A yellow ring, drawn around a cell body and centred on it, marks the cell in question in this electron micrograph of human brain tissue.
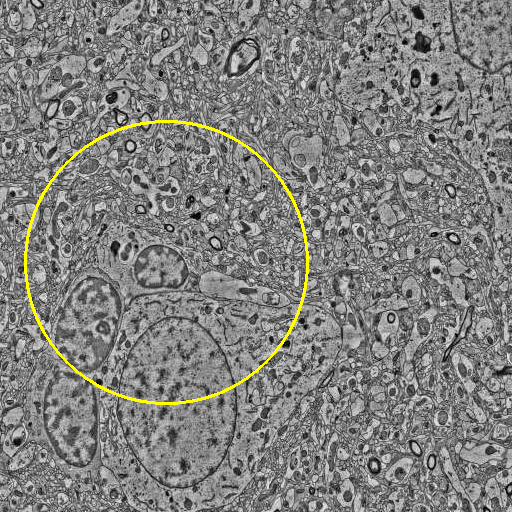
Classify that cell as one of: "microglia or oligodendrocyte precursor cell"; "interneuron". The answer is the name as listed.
microglia or oligodendrocyte precursor cell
